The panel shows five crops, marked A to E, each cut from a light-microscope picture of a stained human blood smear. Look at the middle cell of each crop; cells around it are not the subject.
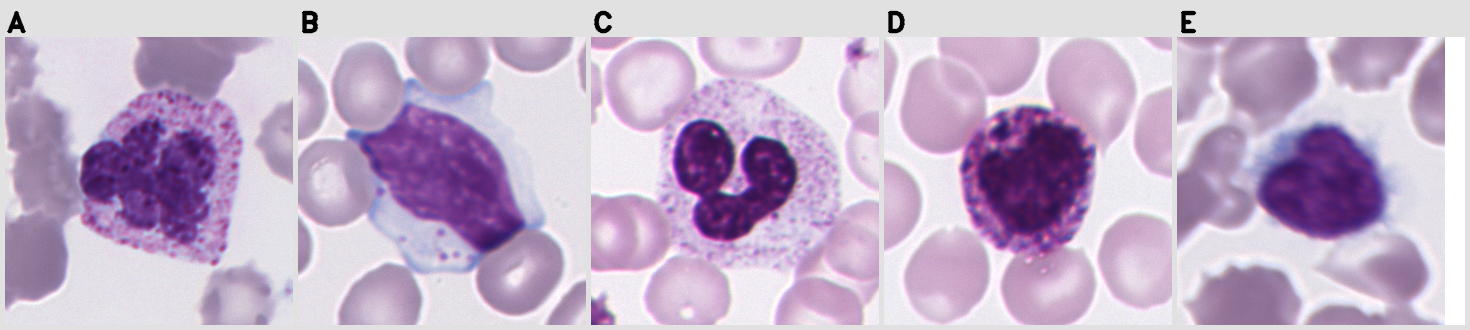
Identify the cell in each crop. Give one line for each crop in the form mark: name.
A: basophil
B: large granular lymphocyte
C: segmented neutrophil
D: basophil
E: hairy cell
